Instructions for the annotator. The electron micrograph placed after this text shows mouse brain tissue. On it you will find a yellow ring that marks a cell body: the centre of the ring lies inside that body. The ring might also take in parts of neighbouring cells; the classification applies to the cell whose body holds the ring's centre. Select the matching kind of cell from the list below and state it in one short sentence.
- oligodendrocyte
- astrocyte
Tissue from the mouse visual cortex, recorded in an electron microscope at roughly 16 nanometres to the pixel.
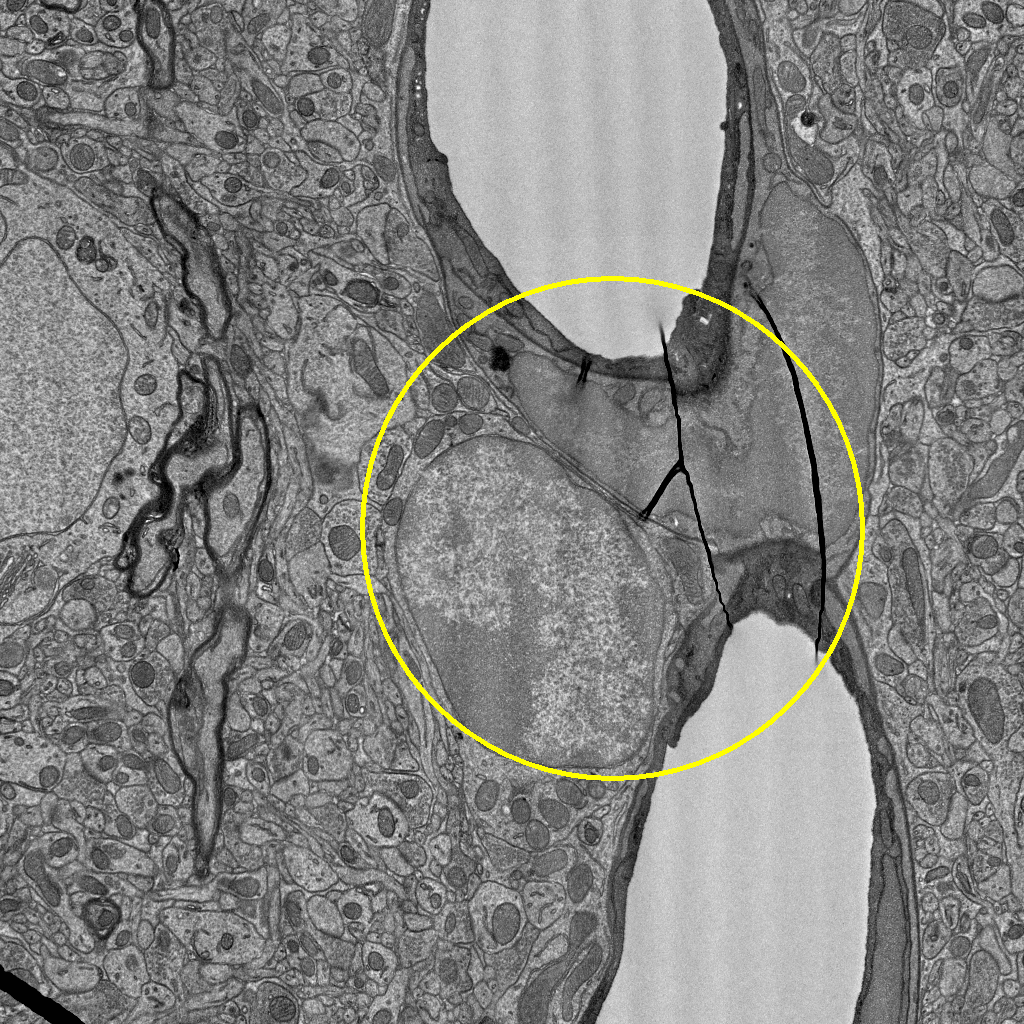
The centre of the ring lies in the cell body of an oligodendrocyte.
